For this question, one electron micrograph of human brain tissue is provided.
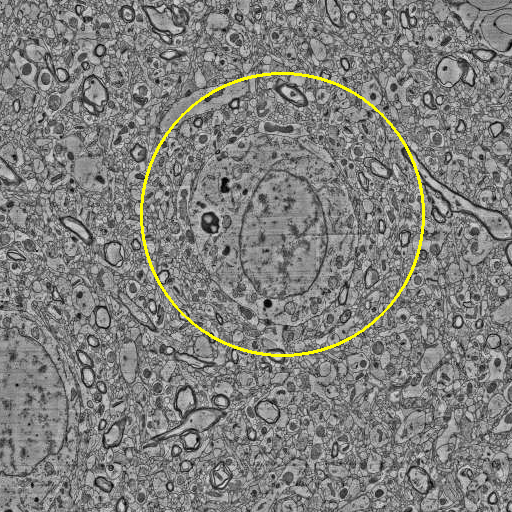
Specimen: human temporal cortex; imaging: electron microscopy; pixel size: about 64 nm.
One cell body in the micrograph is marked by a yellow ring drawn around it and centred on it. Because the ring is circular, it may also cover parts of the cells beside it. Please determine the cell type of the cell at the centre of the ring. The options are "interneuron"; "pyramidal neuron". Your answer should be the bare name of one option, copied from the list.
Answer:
pyramidal neuron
